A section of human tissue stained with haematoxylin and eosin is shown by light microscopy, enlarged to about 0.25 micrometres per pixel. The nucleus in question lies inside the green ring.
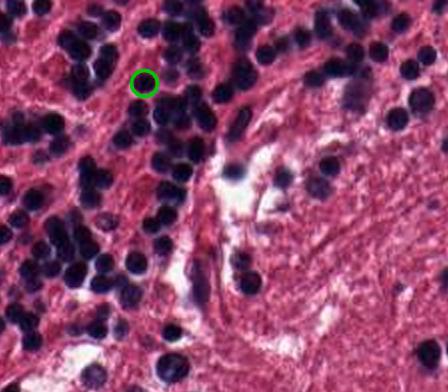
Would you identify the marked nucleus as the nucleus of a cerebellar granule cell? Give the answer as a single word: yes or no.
yes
